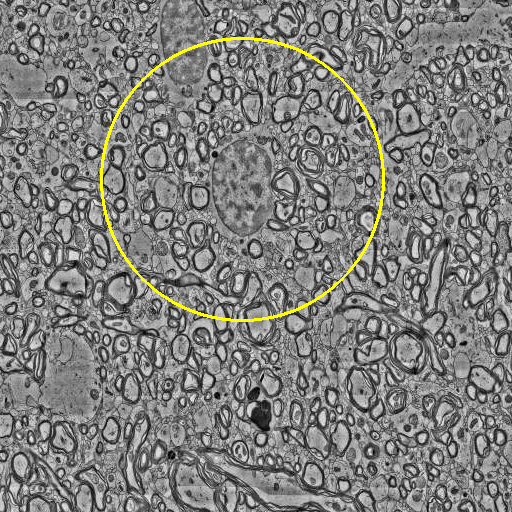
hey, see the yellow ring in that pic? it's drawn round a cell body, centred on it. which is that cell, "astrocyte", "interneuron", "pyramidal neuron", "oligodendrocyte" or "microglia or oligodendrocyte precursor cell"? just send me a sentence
The cell in the ring is an oligodendrocyte.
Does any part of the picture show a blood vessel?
No, no vessel shows anywhere in the image.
